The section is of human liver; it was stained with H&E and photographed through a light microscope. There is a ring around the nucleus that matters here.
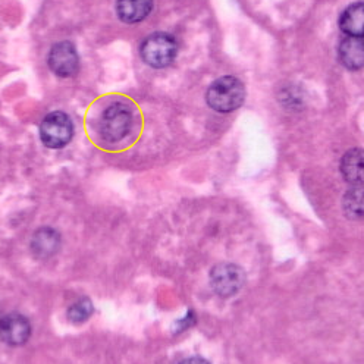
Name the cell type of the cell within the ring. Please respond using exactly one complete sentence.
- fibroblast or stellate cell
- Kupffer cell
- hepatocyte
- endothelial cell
For cell typing purposes, the cell within the ring is a hepatocyte.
